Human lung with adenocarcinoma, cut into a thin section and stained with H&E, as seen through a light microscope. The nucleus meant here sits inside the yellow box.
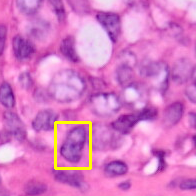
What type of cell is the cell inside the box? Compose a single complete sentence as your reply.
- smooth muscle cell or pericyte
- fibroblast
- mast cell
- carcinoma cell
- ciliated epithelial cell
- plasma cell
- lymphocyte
The identity of the cell inside the box is that of a ciliated epithelial cell.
